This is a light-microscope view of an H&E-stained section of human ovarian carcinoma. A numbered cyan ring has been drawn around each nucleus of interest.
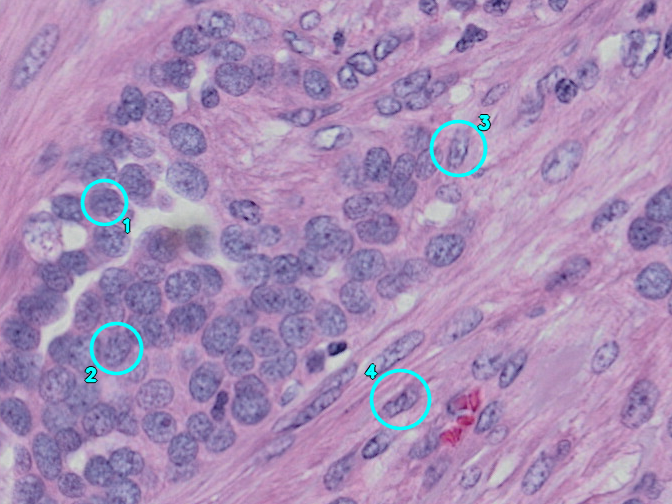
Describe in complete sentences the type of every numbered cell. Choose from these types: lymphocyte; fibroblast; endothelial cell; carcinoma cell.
Cell 1 is a carcinoma cell, cell 2 is a carcinoma cell, cell 3 is a fibroblast and cell 4 is a fibroblast.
